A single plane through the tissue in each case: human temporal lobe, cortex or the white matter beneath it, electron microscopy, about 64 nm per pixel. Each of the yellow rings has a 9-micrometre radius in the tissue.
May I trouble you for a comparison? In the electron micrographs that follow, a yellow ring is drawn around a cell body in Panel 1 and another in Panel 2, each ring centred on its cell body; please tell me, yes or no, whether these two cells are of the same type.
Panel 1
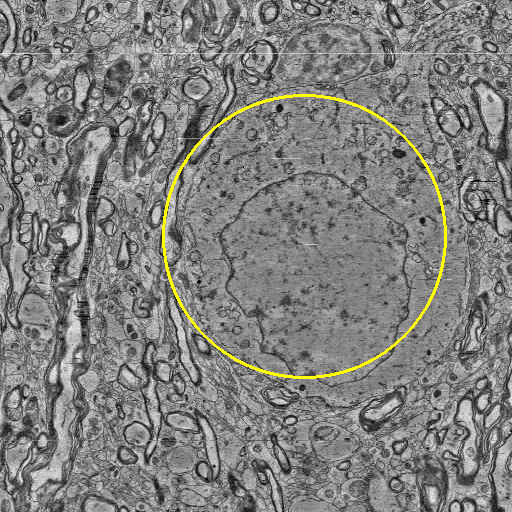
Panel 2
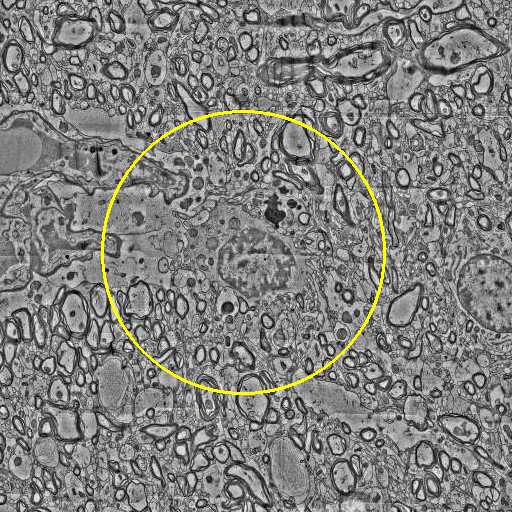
no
